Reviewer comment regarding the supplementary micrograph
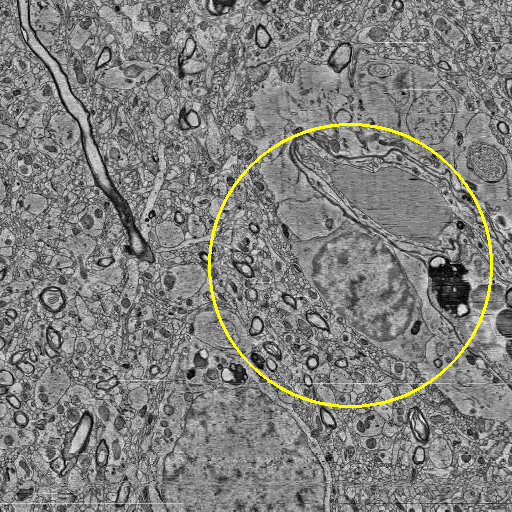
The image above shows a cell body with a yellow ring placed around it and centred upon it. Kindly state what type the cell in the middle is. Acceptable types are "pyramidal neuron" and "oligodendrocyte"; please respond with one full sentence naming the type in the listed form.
In the image above, the cell on which the yellow ring is centred is an oligodendrocyte.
